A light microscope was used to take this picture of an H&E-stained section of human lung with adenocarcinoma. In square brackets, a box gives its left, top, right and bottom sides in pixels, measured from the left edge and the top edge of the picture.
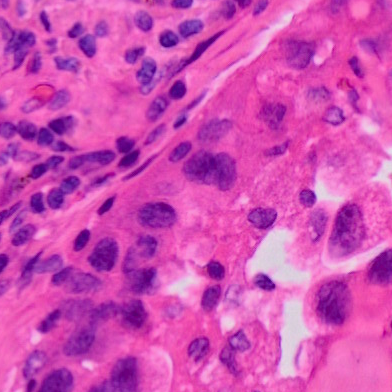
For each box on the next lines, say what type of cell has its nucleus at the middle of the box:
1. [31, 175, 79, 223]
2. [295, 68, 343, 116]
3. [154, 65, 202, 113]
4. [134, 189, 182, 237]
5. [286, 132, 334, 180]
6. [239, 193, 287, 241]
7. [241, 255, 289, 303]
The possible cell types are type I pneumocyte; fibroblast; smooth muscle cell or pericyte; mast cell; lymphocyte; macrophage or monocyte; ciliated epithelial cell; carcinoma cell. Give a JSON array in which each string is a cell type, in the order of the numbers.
["lymphocyte", "macrophage or monocyte", "lymphocyte", "carcinoma cell", "macrophage or monocyte", "macrophage or monocyte", "lymphocyte"]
